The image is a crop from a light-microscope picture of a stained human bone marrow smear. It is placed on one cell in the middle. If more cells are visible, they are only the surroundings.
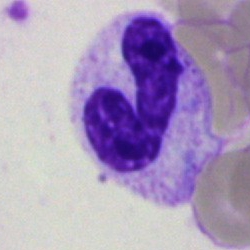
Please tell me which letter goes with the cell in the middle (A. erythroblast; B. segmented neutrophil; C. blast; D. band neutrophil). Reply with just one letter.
D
